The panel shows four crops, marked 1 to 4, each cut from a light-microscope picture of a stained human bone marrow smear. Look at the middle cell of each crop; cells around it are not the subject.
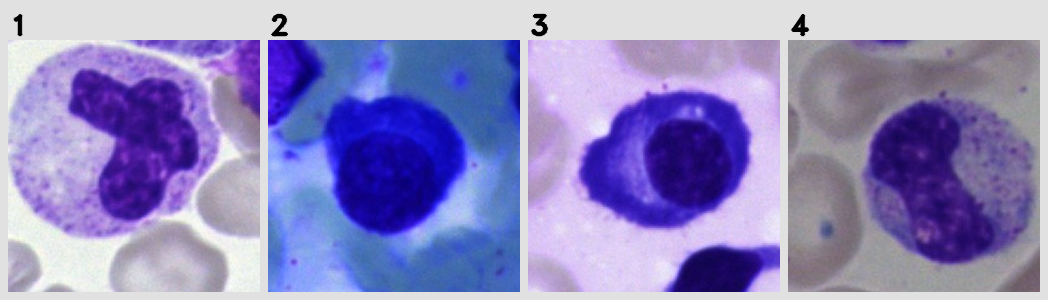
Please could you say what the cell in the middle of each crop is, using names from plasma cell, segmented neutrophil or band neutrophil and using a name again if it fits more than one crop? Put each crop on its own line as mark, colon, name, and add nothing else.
1: segmented neutrophil
2: plasma cell
3: plasma cell
4: band neutrophil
